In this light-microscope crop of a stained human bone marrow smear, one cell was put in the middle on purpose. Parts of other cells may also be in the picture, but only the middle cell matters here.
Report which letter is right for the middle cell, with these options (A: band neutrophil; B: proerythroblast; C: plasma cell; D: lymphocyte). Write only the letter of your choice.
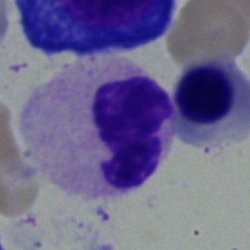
A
